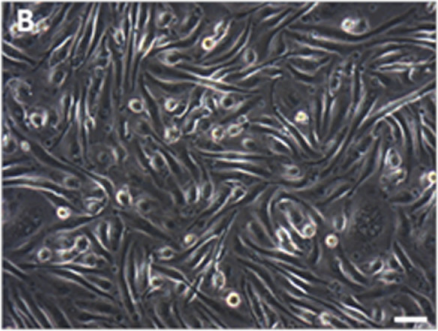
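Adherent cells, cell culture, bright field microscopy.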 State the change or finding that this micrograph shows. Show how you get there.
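Elongated morphology. Most cells are spindle-shaped and long. Elongated cells lie side by side in parallel streams.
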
